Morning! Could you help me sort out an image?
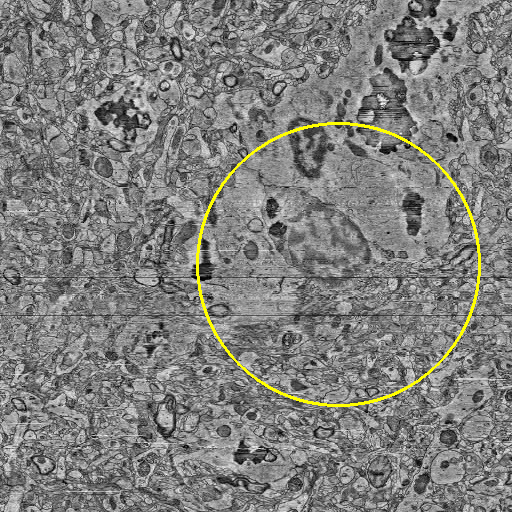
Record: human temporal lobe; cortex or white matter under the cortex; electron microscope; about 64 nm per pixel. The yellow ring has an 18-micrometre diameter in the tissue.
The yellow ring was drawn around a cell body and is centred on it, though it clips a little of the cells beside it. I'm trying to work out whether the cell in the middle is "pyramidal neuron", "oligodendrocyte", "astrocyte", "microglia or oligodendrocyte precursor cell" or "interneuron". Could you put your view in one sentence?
The ringed cell body is that of an oligodendrocyte.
